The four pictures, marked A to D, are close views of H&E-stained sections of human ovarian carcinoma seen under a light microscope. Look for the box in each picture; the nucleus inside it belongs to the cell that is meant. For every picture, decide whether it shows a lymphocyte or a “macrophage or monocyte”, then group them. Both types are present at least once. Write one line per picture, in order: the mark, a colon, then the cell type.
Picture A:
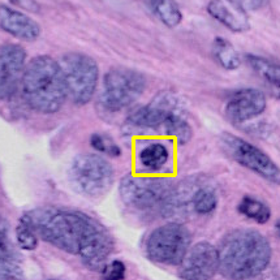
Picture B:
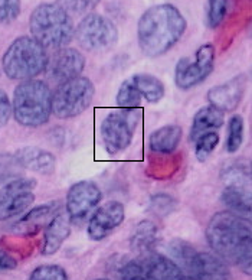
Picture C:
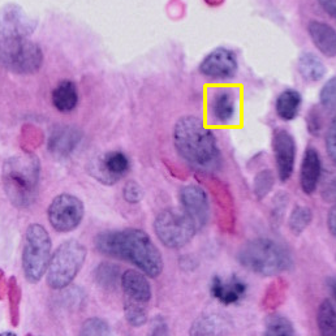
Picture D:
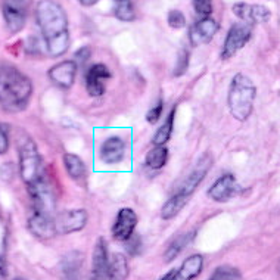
A: lymphocyte
B: macrophage or monocyte
C: lymphocyte
D: lymphocyte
